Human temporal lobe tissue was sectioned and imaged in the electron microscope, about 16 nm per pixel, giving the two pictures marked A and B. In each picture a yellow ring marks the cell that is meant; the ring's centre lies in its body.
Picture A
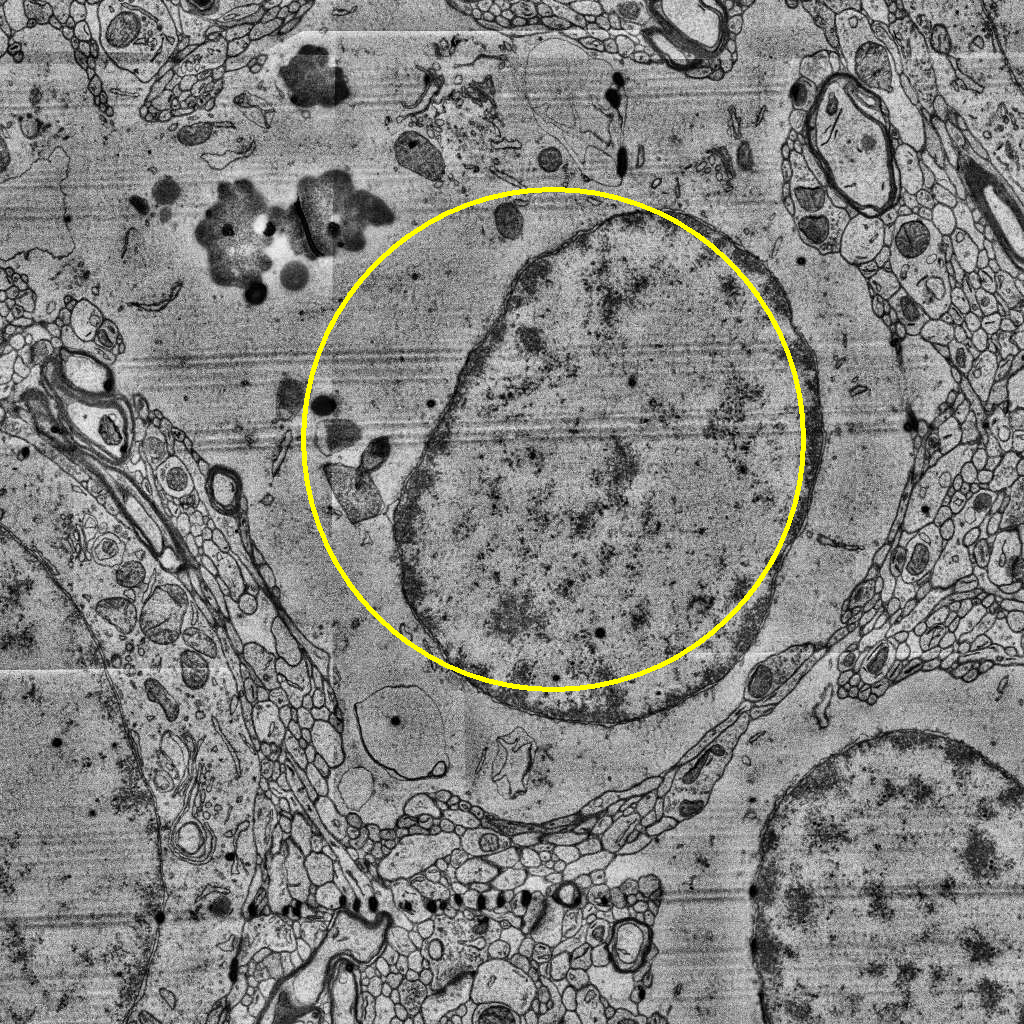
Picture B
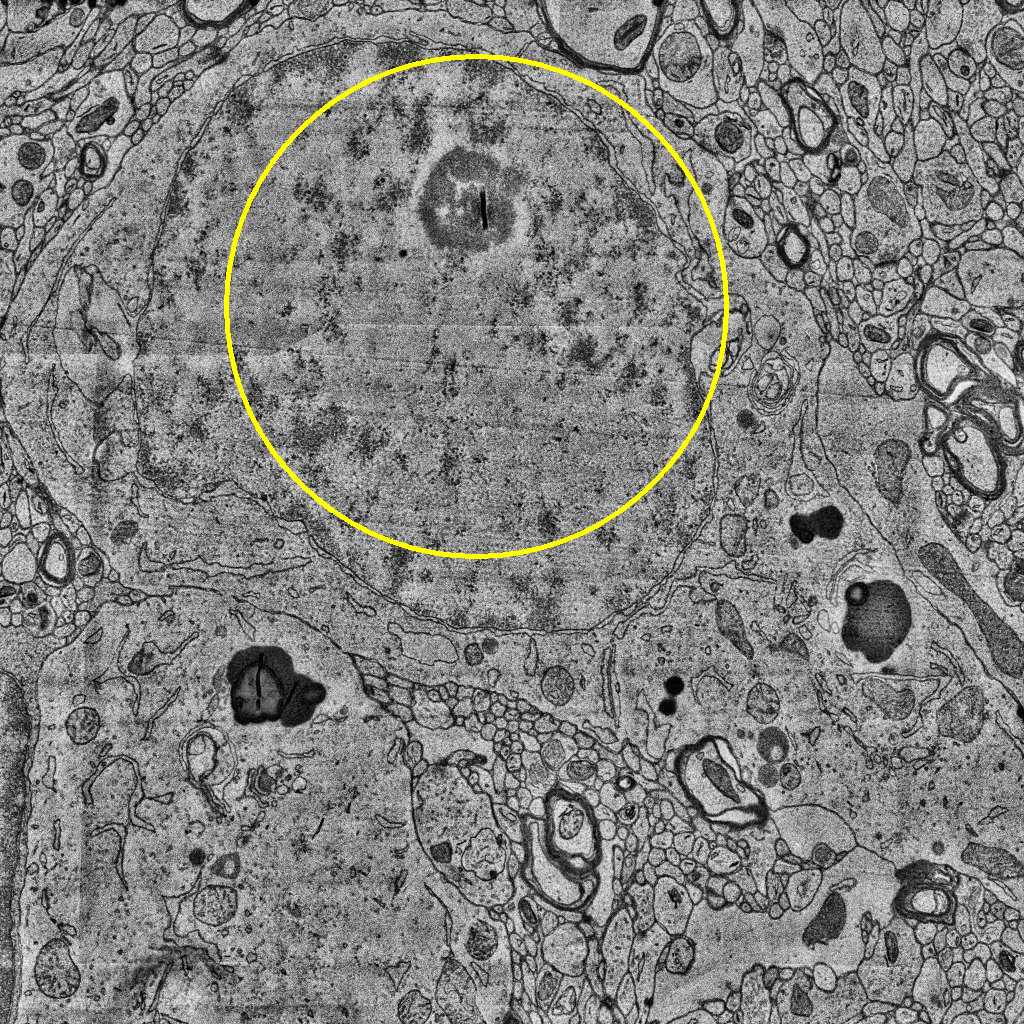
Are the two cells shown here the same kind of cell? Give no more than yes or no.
no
